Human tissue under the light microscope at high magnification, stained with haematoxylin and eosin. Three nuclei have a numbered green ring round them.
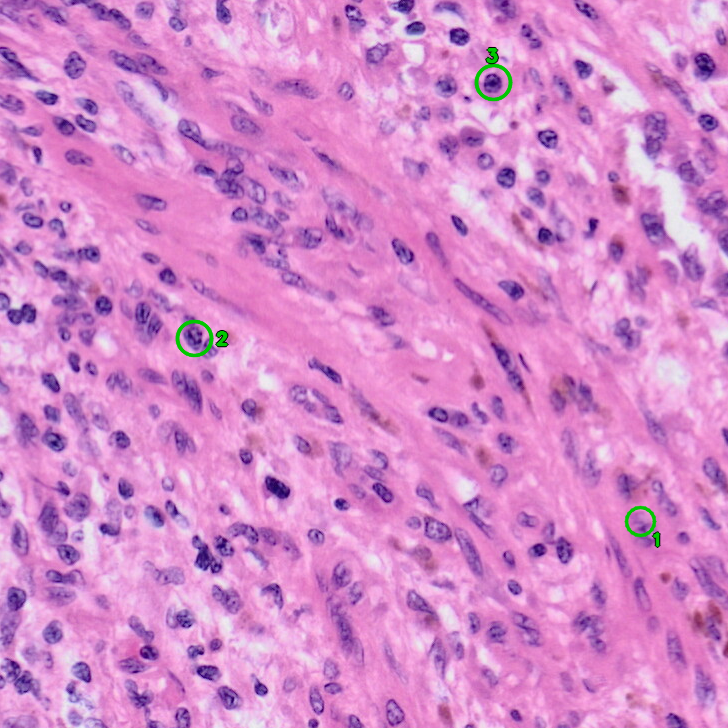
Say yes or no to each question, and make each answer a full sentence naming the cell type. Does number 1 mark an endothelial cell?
Yes, the one numbered 1 is an endothelial cell.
